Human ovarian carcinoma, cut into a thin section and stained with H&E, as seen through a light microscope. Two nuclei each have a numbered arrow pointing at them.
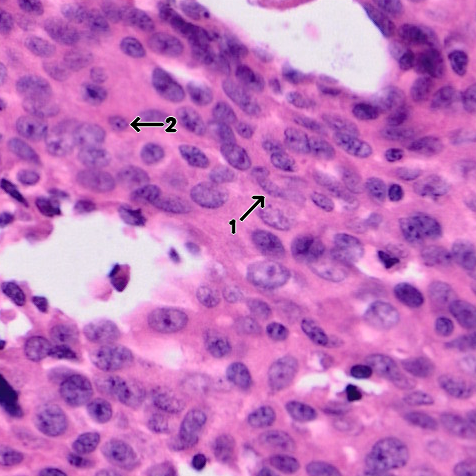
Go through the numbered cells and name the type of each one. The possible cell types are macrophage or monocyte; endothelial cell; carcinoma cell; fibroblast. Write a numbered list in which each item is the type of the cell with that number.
1. carcinoma cell
2. endothelial cell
